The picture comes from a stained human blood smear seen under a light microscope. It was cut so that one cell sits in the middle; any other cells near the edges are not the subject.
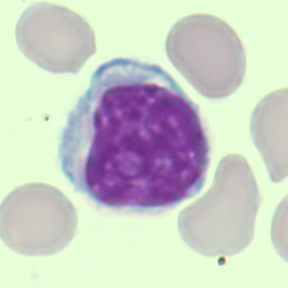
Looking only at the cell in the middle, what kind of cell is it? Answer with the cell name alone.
plasma cell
